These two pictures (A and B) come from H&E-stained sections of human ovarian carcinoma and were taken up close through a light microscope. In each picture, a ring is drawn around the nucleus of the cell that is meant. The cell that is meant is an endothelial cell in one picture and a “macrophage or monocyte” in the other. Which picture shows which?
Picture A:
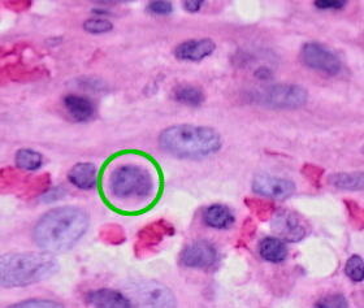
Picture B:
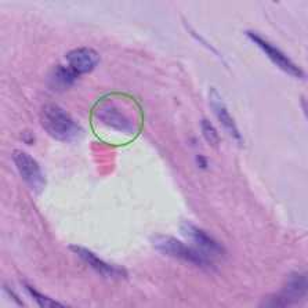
A: macrophage or monocyte
B: endothelial cell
